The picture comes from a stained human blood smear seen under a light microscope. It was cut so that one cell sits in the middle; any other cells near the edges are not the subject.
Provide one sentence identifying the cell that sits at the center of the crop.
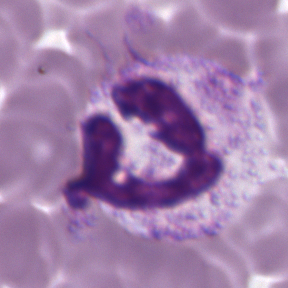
In the middle of this smear crop, the cell is a neutrophil.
